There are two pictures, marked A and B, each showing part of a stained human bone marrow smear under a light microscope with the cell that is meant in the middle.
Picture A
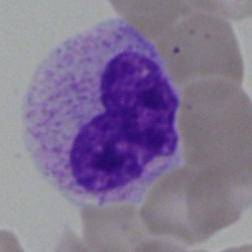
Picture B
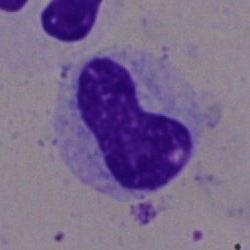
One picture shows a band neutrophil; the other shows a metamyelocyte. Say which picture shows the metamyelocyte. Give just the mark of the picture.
A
